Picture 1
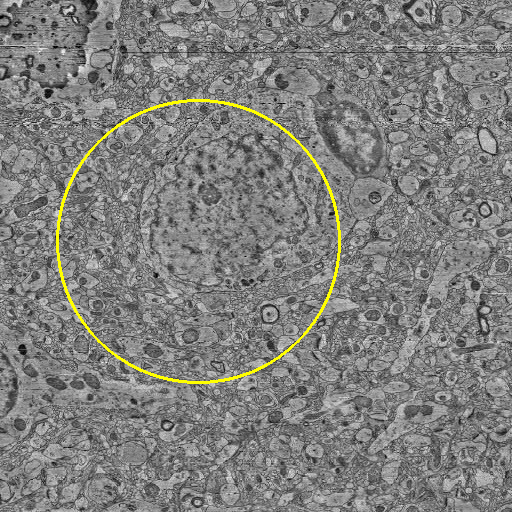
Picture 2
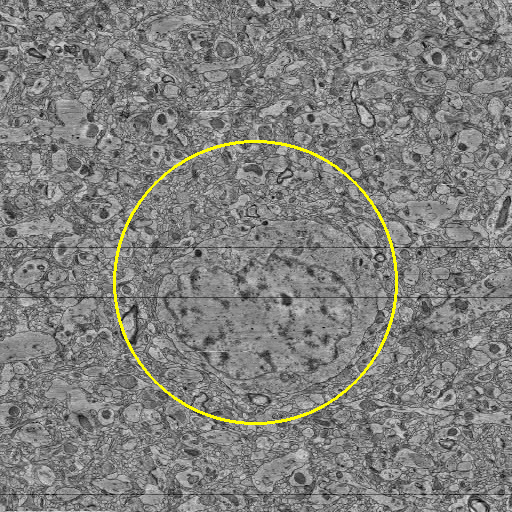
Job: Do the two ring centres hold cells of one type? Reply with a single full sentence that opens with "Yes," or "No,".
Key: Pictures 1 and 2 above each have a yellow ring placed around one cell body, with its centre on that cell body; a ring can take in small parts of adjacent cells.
Yes, the cells at the two ring centres are of one single type.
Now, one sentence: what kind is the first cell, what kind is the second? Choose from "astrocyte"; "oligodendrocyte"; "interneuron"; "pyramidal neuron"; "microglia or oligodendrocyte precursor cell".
The cell in the first picture is an interneuron, and so is the one in the second.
